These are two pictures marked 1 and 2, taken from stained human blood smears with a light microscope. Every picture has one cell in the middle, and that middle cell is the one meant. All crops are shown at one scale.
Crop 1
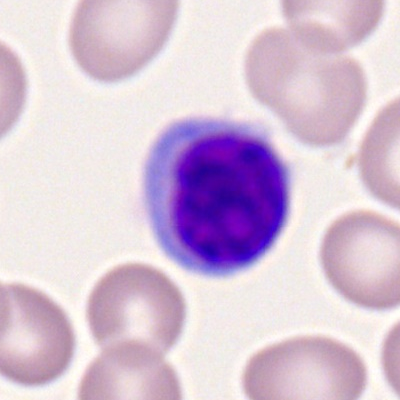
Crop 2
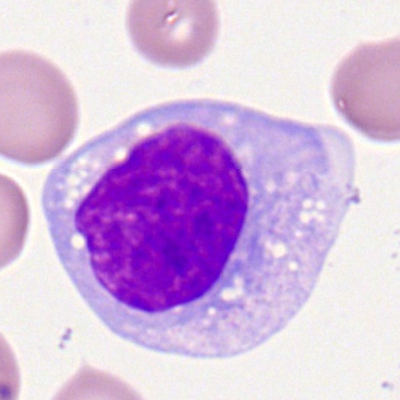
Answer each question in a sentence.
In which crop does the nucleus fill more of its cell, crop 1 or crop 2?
The nucleus fills more of the cell in crop 1 than in crop 2.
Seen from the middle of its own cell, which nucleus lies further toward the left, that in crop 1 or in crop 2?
It is the nucleus in crop 2 that lies further toward the left of its cell.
